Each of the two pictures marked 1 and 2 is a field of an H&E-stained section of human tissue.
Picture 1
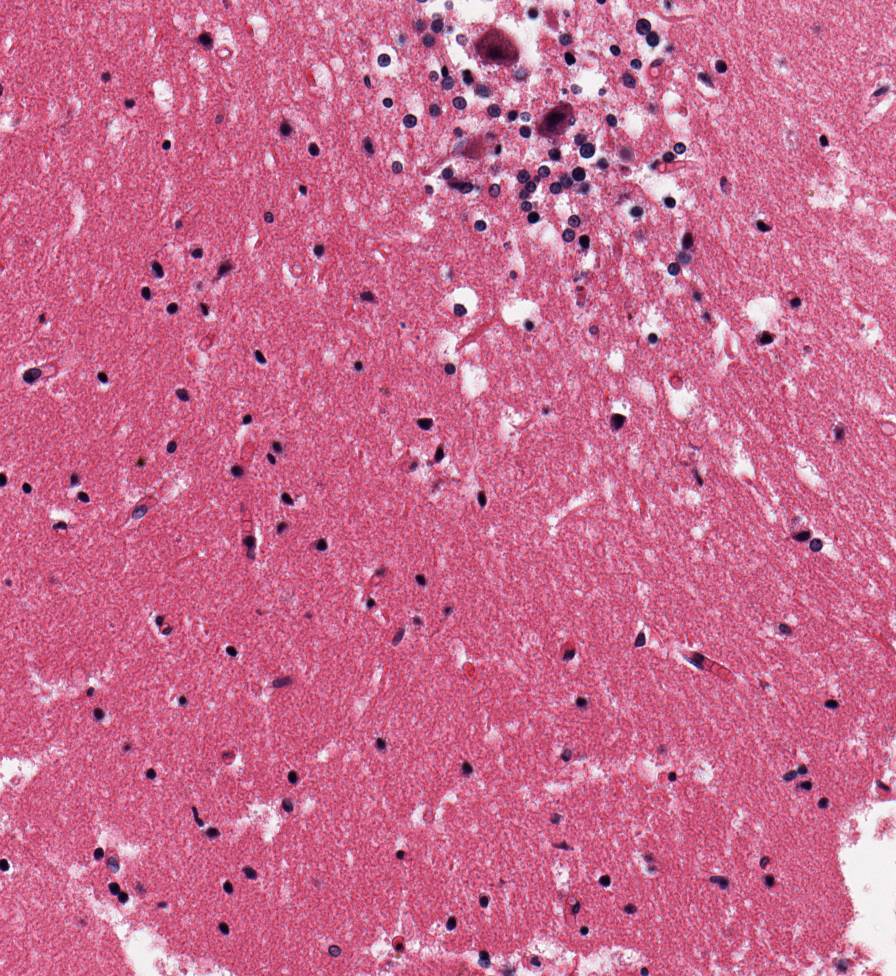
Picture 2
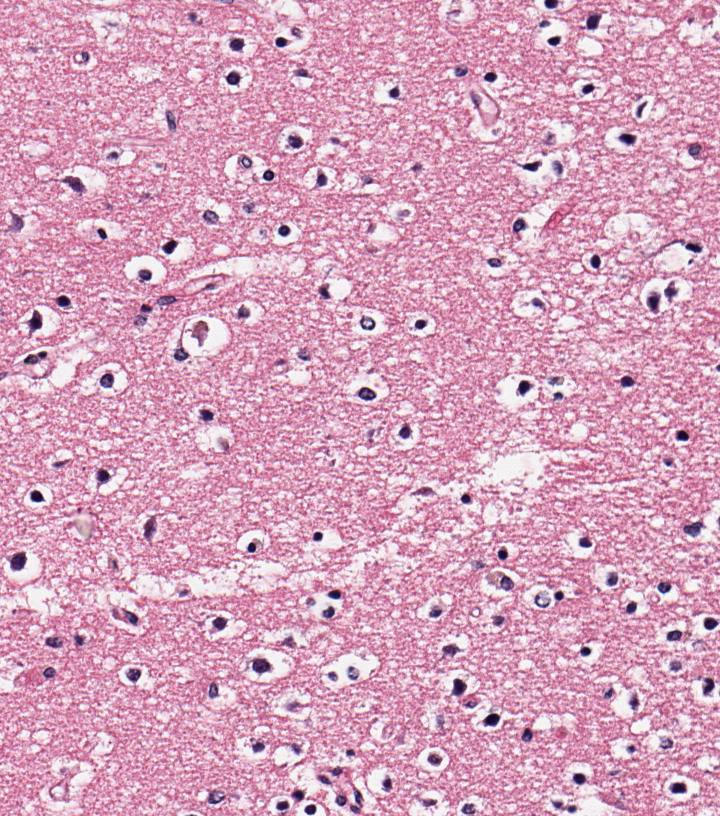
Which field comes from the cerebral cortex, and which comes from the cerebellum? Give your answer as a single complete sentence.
It is picture 1 that comes from the cerebellum, and picture 2 that comes from the cerebral cortex.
